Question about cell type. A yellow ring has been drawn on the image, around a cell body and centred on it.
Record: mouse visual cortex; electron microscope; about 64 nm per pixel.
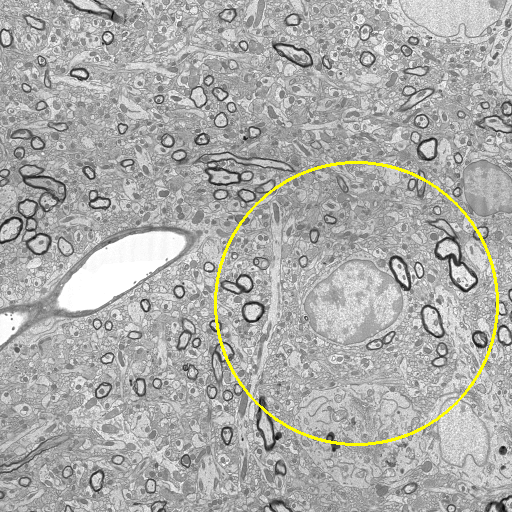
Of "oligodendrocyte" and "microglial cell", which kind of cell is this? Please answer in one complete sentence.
At the centre of the ring lies an oligodendrocyte.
